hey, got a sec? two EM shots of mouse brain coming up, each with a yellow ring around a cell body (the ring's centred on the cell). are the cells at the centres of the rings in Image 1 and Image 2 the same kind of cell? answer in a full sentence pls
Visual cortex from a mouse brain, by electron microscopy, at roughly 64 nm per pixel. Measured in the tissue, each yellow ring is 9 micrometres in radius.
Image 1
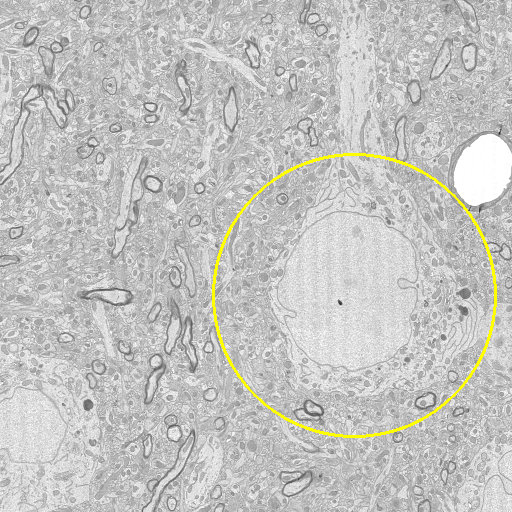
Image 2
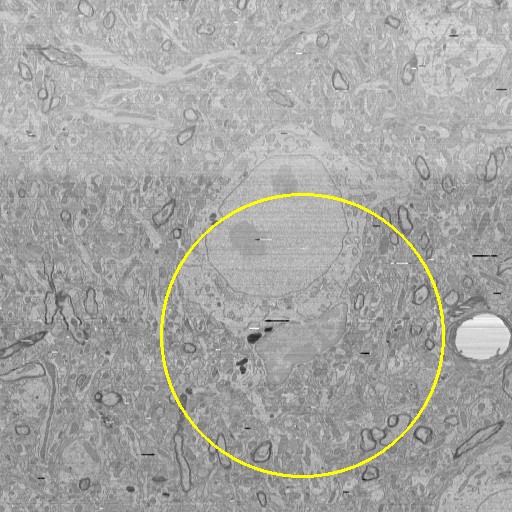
No, they are two kinds of cell.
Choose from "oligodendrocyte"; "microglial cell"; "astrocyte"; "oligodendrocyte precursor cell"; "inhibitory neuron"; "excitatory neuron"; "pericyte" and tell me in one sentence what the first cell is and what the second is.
What the first ring is centred on is an excitatory neuron; what the second ring is centred on is a microglial cell.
